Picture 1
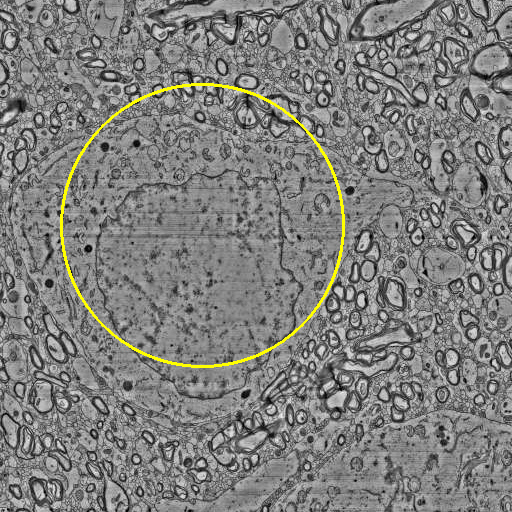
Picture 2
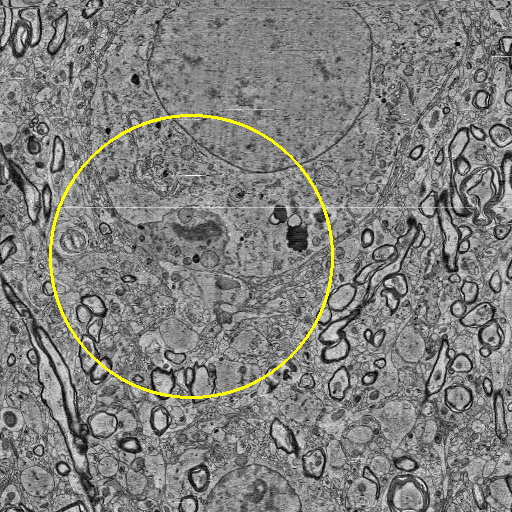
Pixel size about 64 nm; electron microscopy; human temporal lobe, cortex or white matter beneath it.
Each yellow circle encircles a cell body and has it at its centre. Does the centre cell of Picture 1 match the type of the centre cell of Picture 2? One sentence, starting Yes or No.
No, the cell centred in Picture 1 and the one in Picture 2 have separate types.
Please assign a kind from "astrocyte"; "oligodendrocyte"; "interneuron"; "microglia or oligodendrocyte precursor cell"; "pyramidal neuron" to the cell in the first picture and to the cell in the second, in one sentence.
In the first picture we have a pyramidal neuron, and in the second, an oligodendrocyte.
